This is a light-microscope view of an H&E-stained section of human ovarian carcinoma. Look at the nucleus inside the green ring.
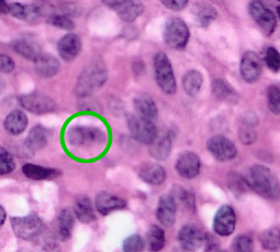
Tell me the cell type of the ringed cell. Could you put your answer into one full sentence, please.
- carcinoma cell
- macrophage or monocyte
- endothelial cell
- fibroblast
In the tissue at hand, the ringed cell is a macrophage or monocyte.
